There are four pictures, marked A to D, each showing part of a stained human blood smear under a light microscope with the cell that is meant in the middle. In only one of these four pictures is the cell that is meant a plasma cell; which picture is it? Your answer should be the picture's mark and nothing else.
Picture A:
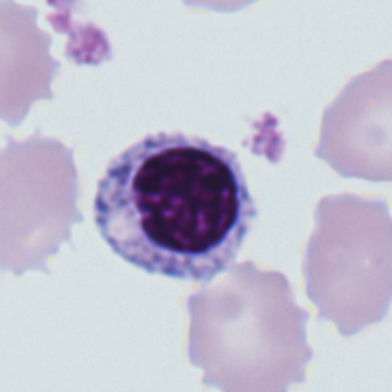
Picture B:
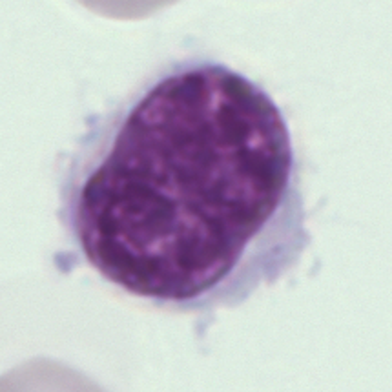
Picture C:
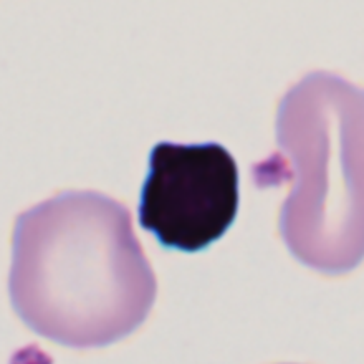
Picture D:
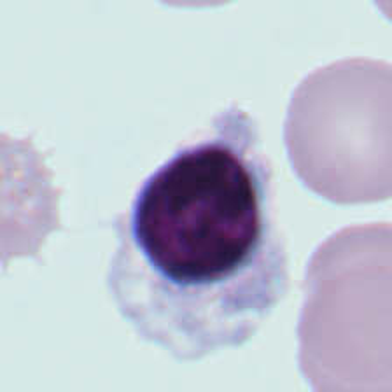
B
